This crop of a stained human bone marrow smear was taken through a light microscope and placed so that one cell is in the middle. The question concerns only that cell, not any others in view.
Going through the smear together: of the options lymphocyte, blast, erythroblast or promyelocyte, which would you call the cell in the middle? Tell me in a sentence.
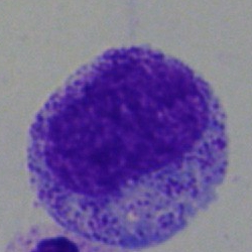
Of the cells in this crop, the central one is a promyelocyte.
